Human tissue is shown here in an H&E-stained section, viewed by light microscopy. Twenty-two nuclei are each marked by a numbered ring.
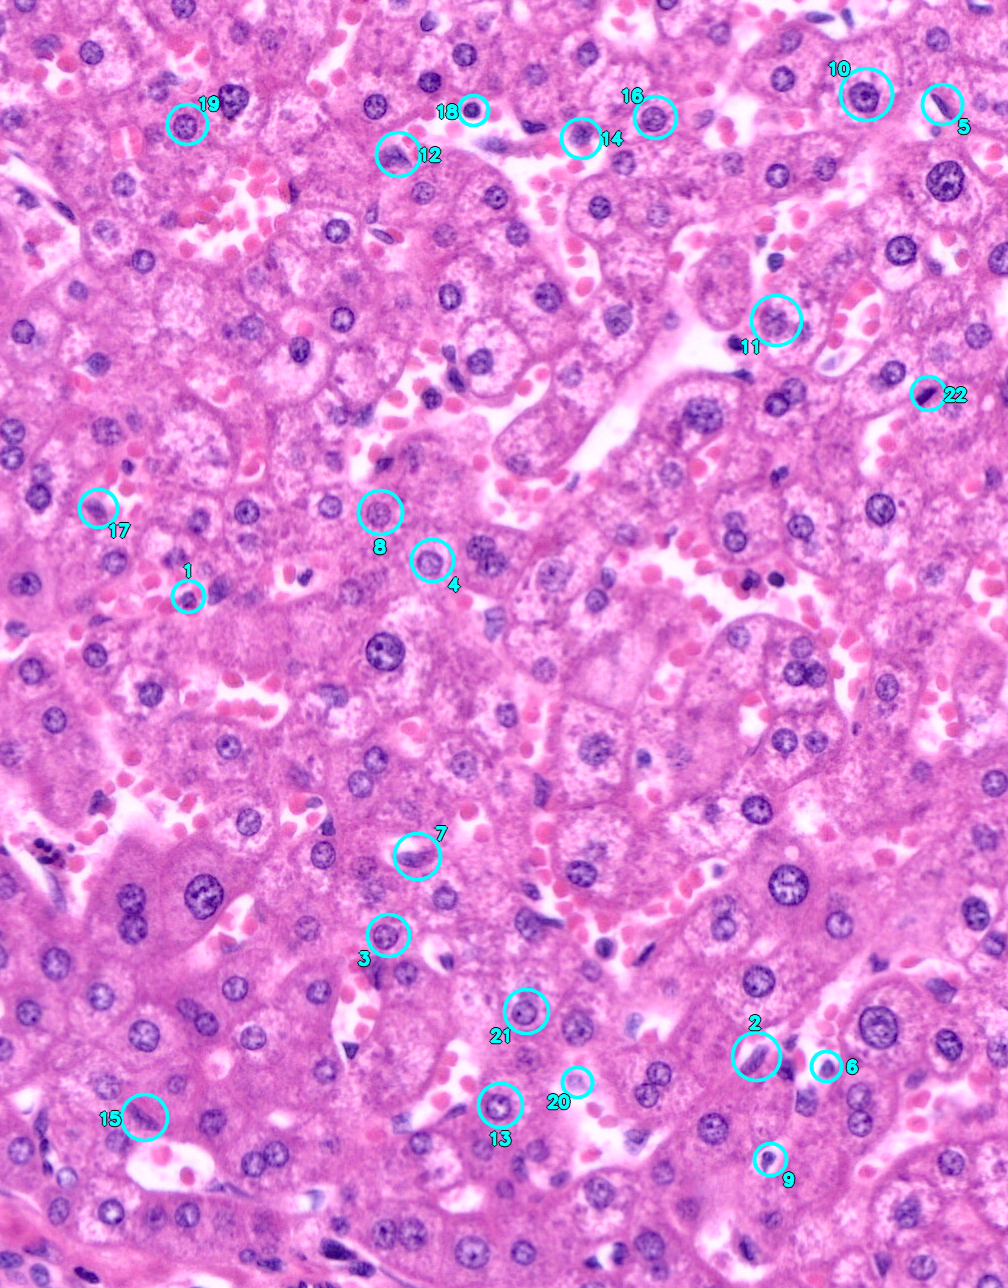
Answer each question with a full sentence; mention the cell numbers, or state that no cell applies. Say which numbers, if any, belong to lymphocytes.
Within this tissue, the cells numbered 1, 6, 9 and 18 are lymphocytes.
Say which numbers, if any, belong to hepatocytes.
The cells numbered 3, 4, 8, 10, 11, 13, 16, 19 and 21 are typed as hepatocytes.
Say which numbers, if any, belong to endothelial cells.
Cells 5, 12, 14 and 17 are endothelial cells by cell type.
